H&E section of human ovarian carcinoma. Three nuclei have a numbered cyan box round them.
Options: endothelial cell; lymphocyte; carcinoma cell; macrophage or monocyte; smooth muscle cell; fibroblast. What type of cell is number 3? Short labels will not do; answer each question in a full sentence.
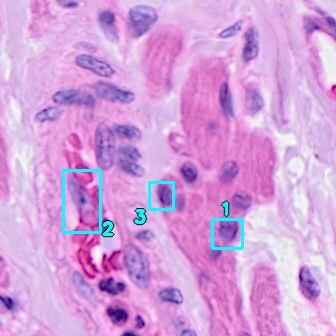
Here the cell numbered 3 is a smooth muscle cell.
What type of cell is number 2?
Here the cell numbered 2 is an endothelial cell.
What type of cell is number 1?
Identified as a smooth muscle cell is the cell bearing the number 1.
